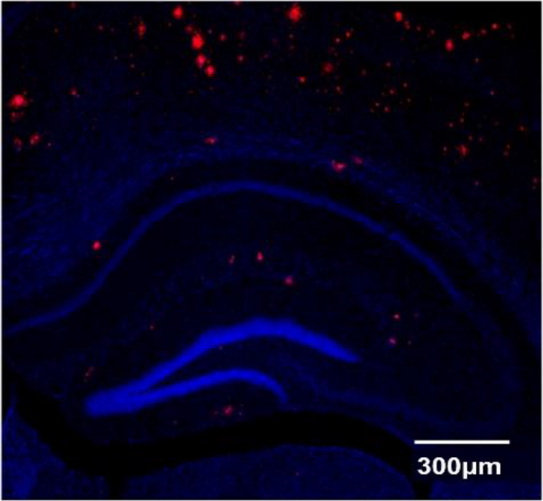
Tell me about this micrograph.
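This section shows cortex at the top and the hippocampus below, with nuclei stained blue. Bright red round deposits of varying size are clustered mainly in the overlying cortex, with only a few scattered in the hippocampal layers between the arched cell layer and the dentate gyrus.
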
